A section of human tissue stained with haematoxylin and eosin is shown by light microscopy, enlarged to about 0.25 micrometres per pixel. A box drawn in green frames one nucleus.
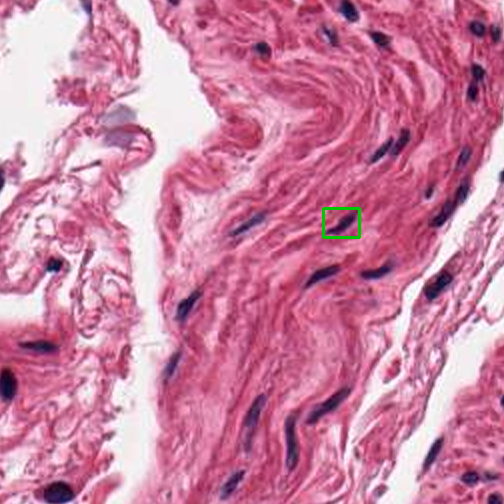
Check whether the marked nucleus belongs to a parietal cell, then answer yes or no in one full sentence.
No, the marked nucleus does not form part of a parietal cell.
